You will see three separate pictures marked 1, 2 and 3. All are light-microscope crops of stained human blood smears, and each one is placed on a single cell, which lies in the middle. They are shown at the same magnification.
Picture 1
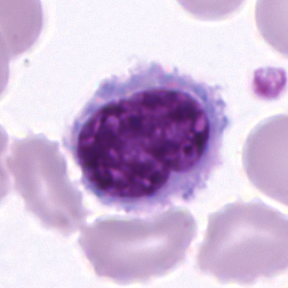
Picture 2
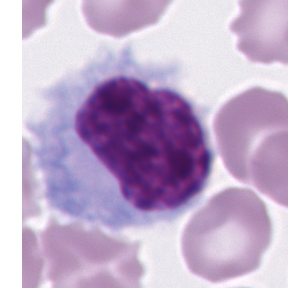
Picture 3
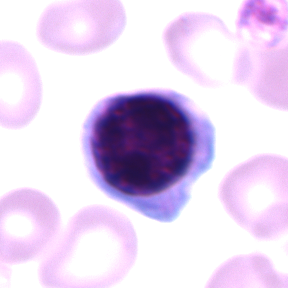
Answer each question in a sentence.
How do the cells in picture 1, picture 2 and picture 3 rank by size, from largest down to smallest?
The order is 2, 1, 3, beginning with the largest.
